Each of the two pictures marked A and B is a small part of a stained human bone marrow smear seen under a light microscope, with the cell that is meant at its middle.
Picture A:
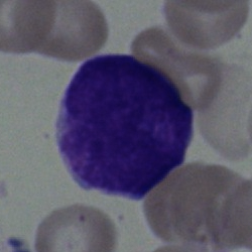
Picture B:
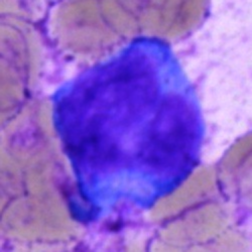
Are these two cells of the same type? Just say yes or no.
yes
